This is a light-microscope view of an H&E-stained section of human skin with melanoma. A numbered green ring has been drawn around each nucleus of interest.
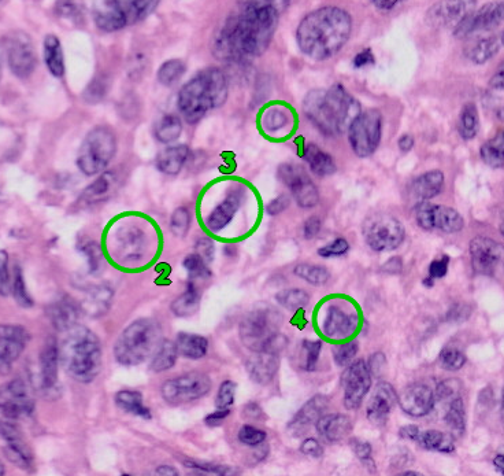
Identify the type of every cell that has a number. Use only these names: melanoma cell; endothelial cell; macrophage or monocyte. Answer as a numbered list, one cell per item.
1. macrophage or monocyte
2. melanoma cell
3. melanoma cell
4. melanoma cell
